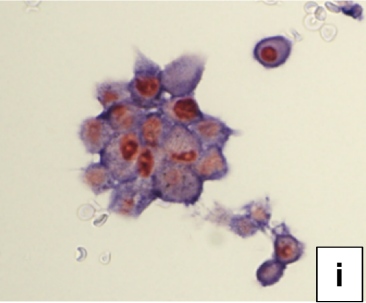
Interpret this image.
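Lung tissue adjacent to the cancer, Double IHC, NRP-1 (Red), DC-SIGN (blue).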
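A loose cluster of about a dozen large alveolar macrophages is seen, with further single macrophages lying apart from it. The cells are rounded to polygonal, with abundant purple-blue cytoplasm and ruffled edges. Pale, ring-shaped red blood cells lie scattered in the background.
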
